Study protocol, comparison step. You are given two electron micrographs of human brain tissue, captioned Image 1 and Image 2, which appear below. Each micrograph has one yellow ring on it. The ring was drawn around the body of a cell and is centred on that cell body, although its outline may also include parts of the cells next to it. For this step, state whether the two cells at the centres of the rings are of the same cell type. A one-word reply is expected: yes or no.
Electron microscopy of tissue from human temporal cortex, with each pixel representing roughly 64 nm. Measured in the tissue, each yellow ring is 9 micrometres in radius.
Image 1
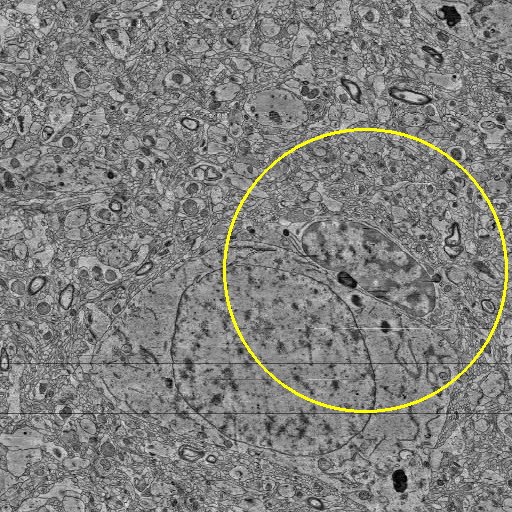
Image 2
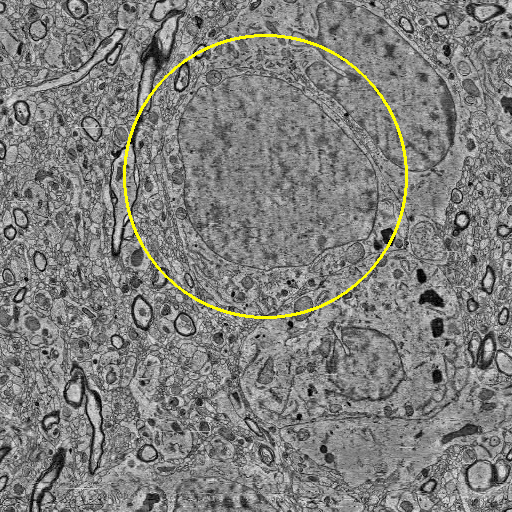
no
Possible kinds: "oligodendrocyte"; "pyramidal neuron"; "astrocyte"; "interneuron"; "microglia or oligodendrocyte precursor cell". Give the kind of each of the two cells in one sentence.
The cell in the second picture is a pyramidal neuron, and that in the first is a microglial cell or oligodendrocyte precursor cell.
